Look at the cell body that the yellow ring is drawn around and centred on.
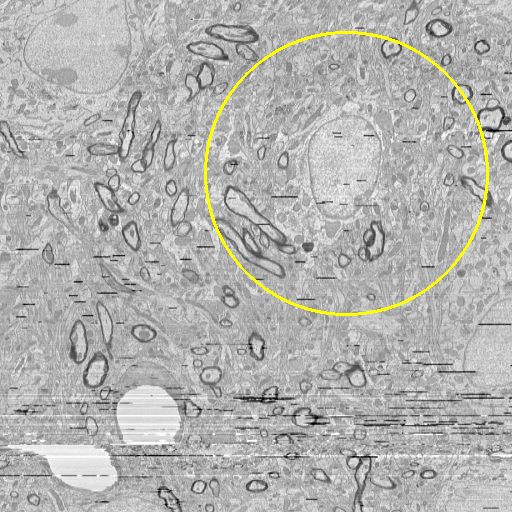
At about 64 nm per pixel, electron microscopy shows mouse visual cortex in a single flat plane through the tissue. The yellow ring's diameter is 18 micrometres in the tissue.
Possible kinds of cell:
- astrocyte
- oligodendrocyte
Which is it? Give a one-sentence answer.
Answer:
The centred cell body is that of an astrocyte.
